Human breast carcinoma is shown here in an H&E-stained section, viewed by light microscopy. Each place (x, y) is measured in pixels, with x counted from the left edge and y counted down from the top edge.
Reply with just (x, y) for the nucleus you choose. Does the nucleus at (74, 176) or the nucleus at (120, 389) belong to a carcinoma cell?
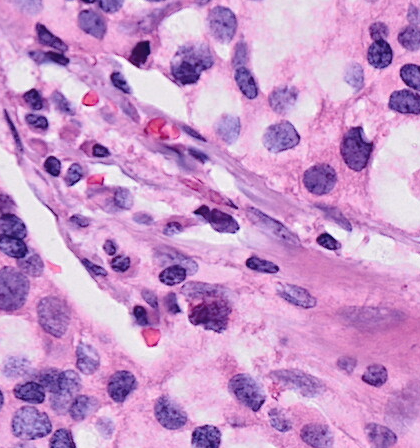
(120, 389)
